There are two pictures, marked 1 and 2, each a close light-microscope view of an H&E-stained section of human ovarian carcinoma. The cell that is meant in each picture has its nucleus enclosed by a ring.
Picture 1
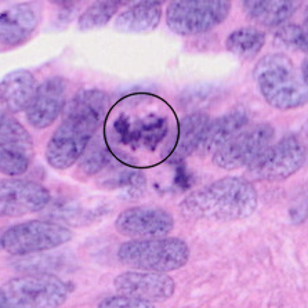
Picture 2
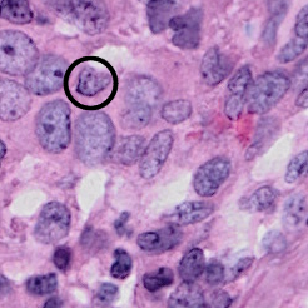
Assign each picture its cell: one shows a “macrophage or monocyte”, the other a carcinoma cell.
1: carcinoma cell
2: macrophage or monocyte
